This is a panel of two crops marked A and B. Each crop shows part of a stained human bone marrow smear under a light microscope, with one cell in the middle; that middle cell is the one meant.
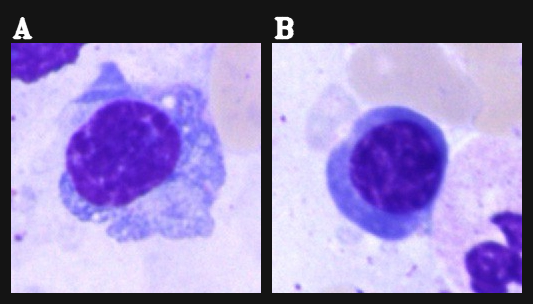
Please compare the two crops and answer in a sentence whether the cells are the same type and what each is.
No, a plasma cell lies at the centre of crop A, and an erythroblast lies at the centre of crop B.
